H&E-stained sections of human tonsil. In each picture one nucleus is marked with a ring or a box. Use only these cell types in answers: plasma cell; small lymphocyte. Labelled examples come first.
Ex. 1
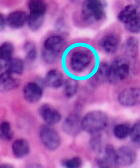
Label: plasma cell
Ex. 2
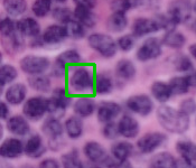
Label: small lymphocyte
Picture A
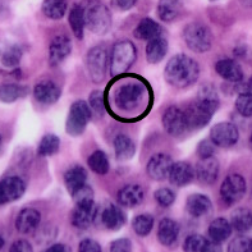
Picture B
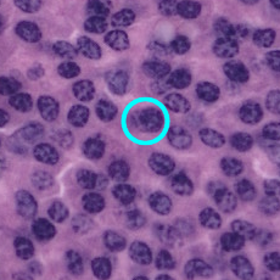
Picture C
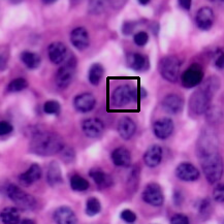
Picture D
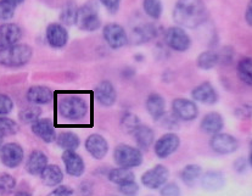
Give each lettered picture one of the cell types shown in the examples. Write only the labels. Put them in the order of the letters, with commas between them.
plasma cell, plasma cell, plasma cell, plasma cell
